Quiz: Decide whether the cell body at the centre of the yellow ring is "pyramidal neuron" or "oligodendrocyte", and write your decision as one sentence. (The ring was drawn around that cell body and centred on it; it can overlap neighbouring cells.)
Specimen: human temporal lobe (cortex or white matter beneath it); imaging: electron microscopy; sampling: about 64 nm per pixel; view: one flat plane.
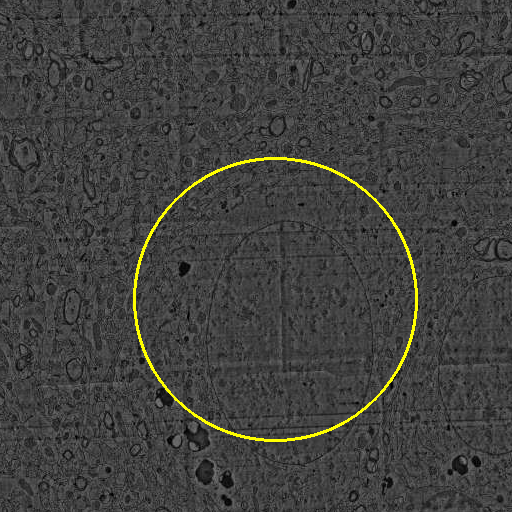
The cell the ring is centred on is a pyramidal neuron.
